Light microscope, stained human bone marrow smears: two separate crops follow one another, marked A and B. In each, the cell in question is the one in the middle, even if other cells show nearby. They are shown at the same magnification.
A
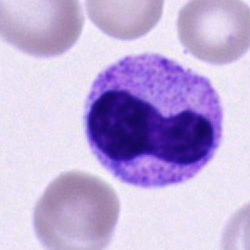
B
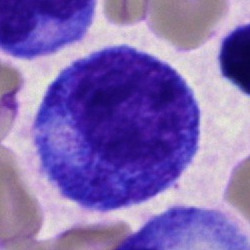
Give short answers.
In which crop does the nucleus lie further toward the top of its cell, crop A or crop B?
B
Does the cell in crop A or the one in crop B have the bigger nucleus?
B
